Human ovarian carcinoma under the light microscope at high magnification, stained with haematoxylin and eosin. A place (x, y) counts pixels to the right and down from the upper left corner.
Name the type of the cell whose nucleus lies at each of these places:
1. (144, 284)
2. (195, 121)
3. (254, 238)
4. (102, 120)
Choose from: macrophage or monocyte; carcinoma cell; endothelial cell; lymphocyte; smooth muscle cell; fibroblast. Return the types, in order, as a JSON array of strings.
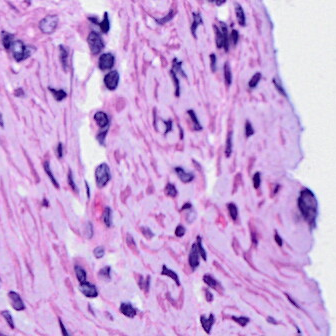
["fibroblast", "fibroblast", "fibroblast", "lymphocyte"]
